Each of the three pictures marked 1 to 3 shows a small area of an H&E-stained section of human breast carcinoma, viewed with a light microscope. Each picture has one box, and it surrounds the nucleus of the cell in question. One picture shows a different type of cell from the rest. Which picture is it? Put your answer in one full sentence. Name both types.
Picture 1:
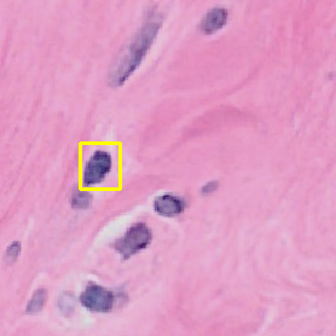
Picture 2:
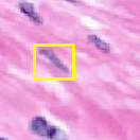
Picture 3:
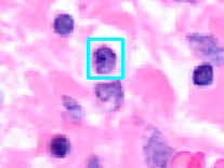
Picture 2 differs, because its cell is a fibroblast and the rest are lymphocytes.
